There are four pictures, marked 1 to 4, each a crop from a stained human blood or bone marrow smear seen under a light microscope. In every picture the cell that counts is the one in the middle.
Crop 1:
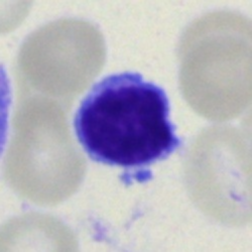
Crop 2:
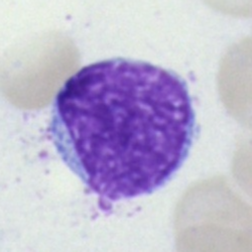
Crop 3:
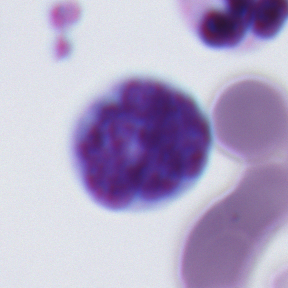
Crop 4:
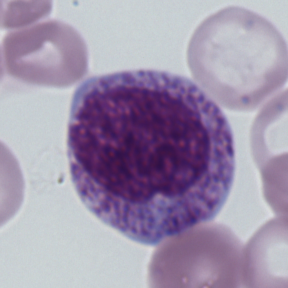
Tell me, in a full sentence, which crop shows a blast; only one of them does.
In this set, crop 2 is the one showing a blast.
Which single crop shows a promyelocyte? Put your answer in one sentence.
Of the crops shown, crop 4 depicts a promyelocyte.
